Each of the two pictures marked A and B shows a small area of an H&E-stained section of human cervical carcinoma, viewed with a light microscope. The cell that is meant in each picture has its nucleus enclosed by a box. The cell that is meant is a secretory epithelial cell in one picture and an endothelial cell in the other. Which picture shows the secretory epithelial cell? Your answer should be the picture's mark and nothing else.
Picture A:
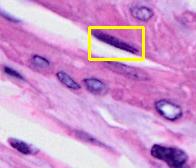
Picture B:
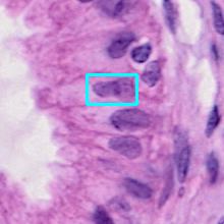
B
